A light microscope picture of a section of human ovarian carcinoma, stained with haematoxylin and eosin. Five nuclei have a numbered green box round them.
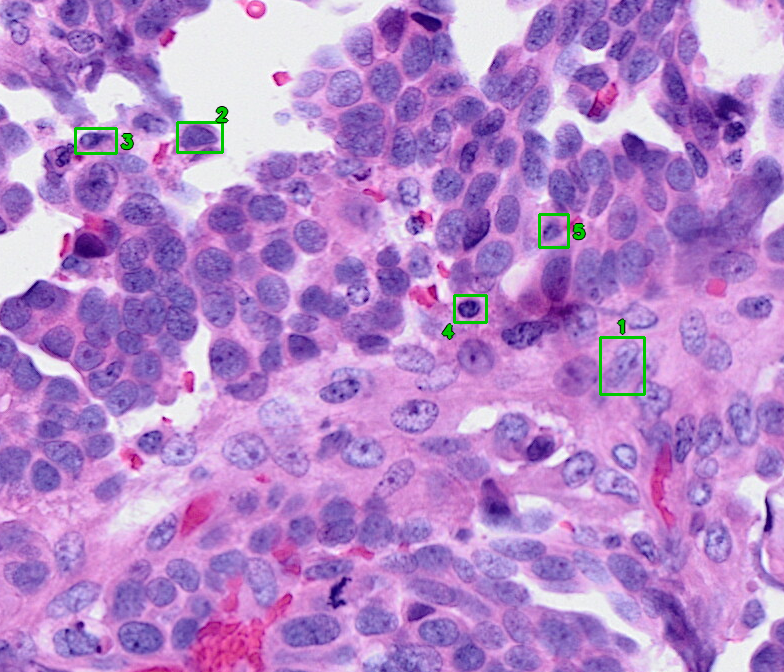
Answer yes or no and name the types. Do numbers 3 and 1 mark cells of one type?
No, that's wrong; cell 3 is a macrophage or monocyte and cell 1 is a fibroblast.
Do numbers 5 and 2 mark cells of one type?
No, that is not right: cell 5 is a macrophage or monocyte and cell 2 is a carcinoma cell.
